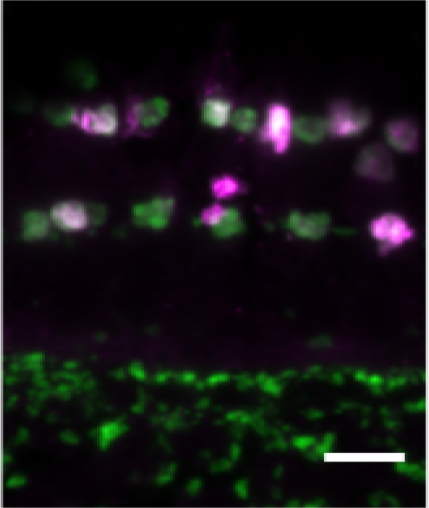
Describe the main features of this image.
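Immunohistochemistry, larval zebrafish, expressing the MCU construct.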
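This fluorescent section of retina shows two staggered rows of compact, rounded green clusters in an upper layer, with a band of finer, scattered green dots lower in the image. Magenta overlaps some of the upper clusters, which appear white or pink where both colours coincide, while other clusters in the same rows stay green only. The lower dotted band shows green without magenta. The rounded clusters in rows are mitochondria-packed compartments of cones, only some of which carry the magenta label.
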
